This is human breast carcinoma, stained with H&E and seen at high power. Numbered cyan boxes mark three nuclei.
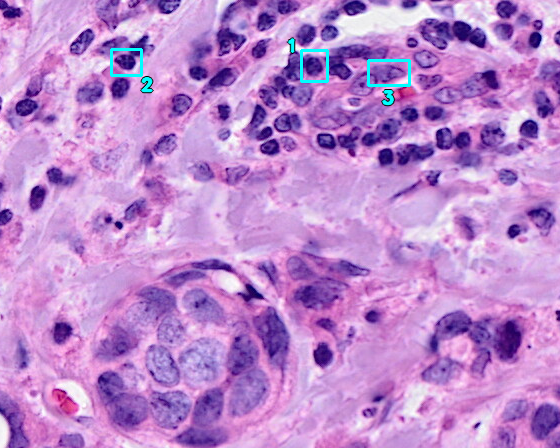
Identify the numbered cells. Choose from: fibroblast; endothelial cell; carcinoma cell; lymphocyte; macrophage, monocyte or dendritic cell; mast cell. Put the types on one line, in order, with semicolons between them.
lymphocyte; lymphocyte; endothelial cell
